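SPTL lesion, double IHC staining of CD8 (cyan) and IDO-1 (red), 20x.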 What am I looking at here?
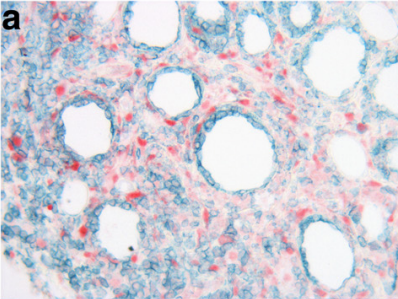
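This section shows fat tissue densely infiltrated by lymphocytes, with round clear fat spaces set in a crowded cellular background. Many of the fat spaces are rimmed by a ring of cells whose outlines are stained cyan. The cyan-outlined cells are small and round and fill much of the tissue between the fat spaces. Scattered among them are separate cells with red staining, many of them elongated or irregular rather than ring-like. The red and cyan colours mostly sit in different cells rather than overlapping.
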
